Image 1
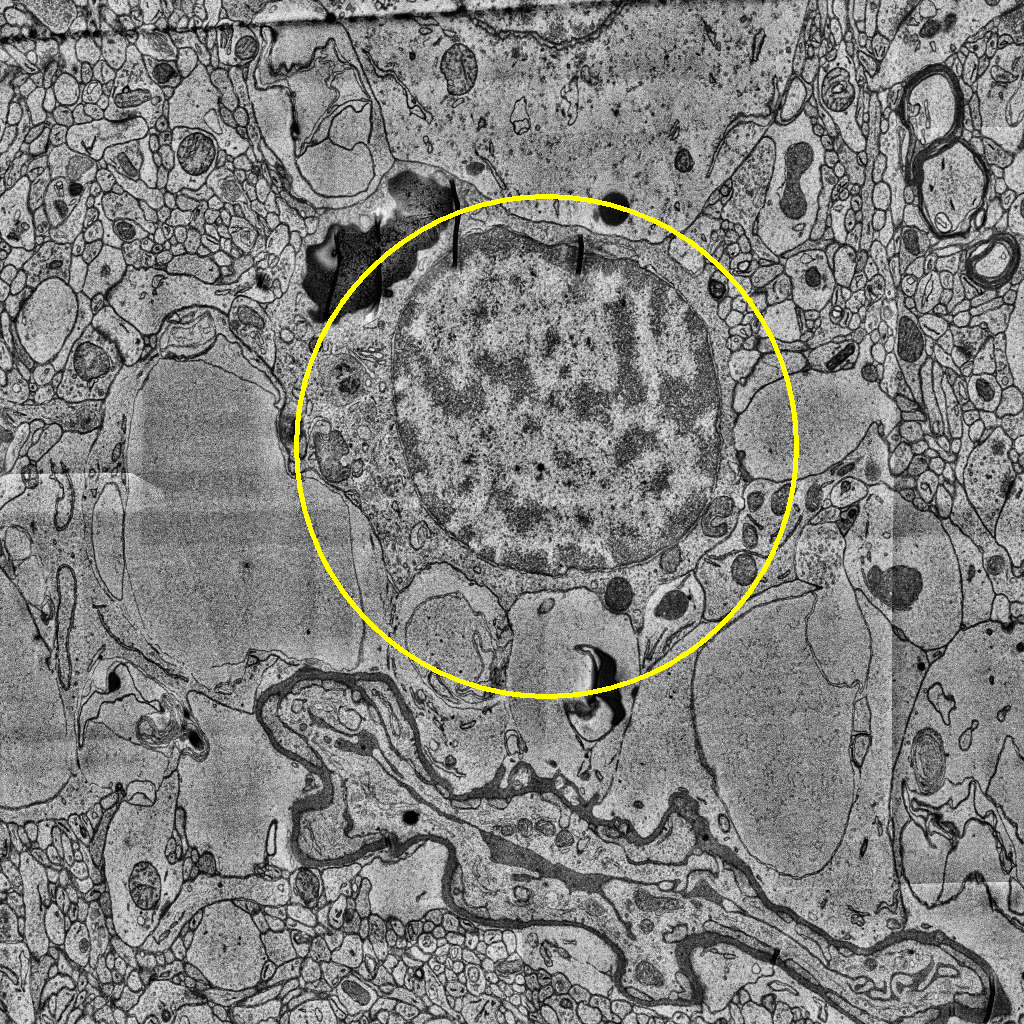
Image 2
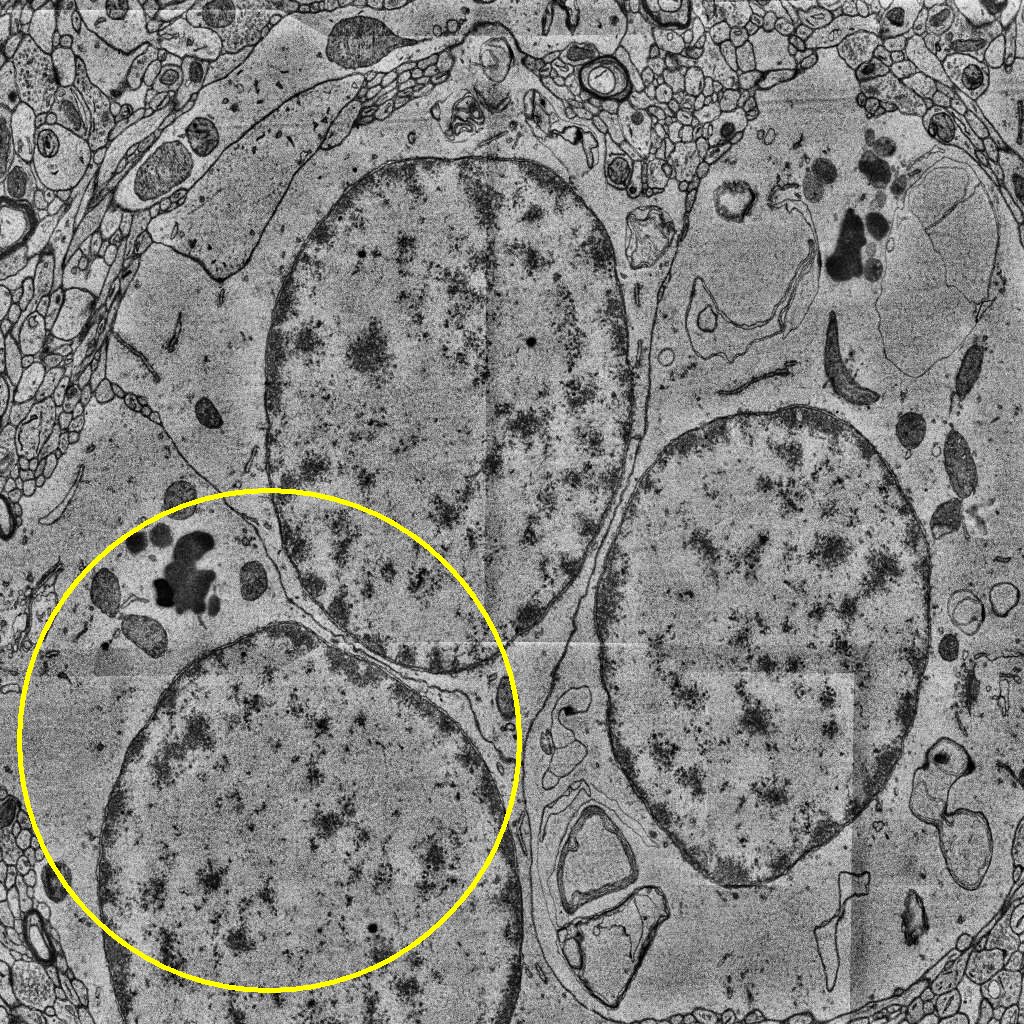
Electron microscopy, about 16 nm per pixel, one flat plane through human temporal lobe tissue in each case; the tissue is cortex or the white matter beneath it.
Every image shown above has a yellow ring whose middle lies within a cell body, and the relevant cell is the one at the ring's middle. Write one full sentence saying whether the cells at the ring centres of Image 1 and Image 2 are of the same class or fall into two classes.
The cell at the ring's centre in Image 1 and its counterpart in Image 2 fall into two classes.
